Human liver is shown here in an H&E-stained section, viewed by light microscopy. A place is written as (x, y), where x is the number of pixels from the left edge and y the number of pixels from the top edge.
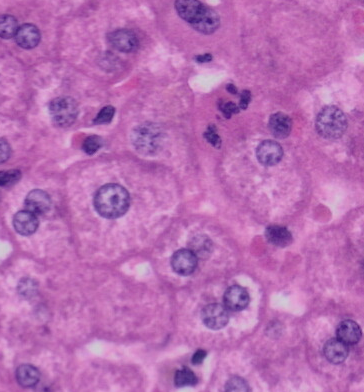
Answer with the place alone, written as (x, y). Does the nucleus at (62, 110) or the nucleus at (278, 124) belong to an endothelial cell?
(278, 124)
